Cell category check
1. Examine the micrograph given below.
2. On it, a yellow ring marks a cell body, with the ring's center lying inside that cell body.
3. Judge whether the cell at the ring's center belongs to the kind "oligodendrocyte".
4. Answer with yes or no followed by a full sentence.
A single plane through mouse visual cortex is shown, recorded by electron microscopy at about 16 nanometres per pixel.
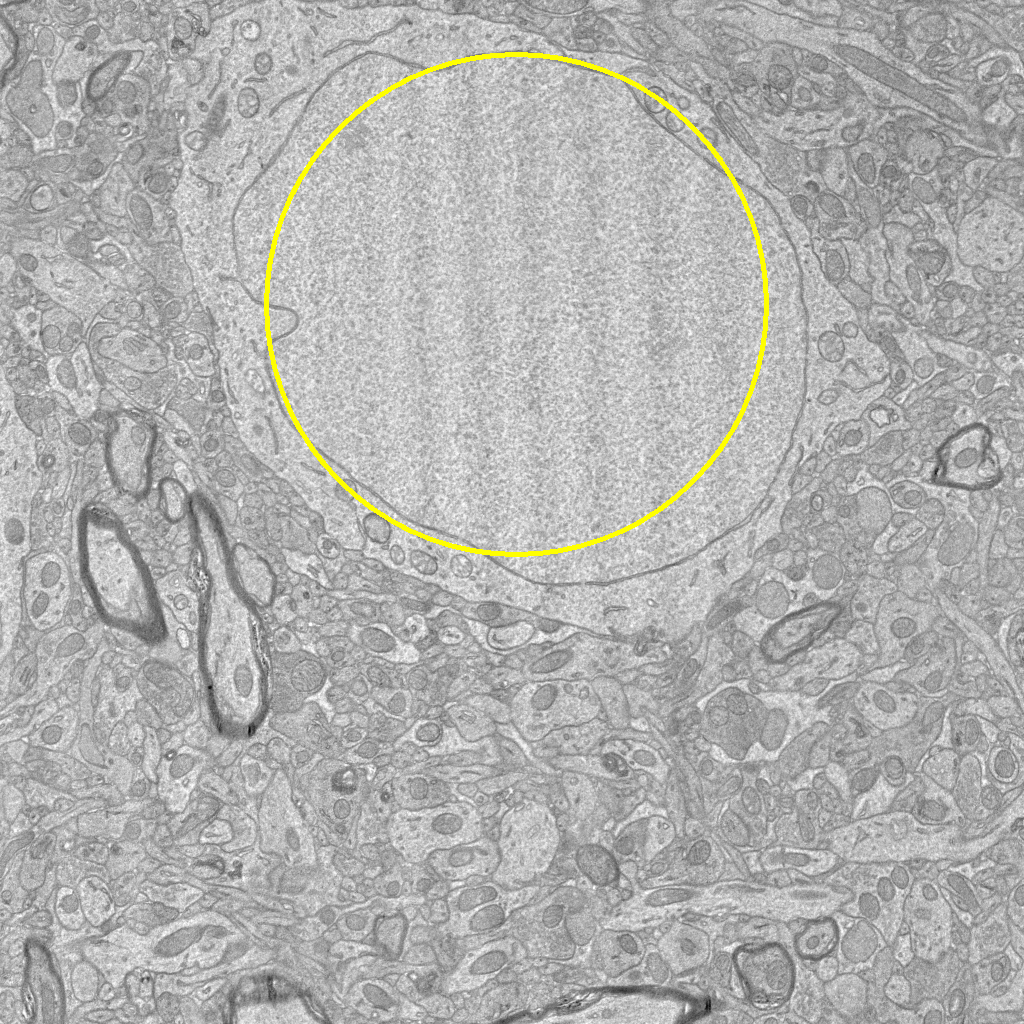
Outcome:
No, the cell found at the ring's center in the micrograph belongs to another kind.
